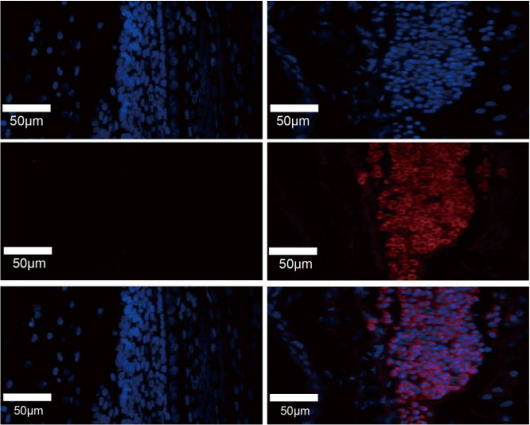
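In every field the blue marks many small oval nuclei, packed closely in a broad band and more sparsely scattered beside it. In the left column the red channel is almost entirely dark, so the merged view looks much like the blue view. In the right column a strong red signal fills the densely packed band of cells. In the merged view that red overlaps the closely set nuclei, giving a purplish mix of red and blue there.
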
